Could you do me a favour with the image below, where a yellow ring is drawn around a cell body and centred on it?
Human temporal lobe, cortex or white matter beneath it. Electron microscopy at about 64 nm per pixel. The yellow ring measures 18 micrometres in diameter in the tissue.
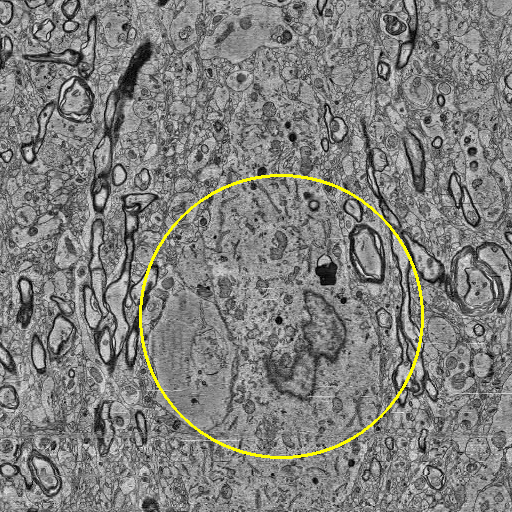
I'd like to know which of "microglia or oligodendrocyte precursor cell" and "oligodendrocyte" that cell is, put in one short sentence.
The cell at the ring's centre is a microglial cell or oligodendrocyte precursor cell.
